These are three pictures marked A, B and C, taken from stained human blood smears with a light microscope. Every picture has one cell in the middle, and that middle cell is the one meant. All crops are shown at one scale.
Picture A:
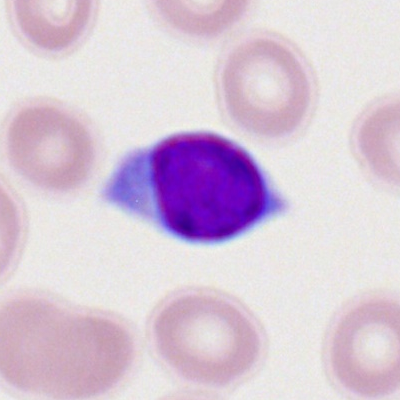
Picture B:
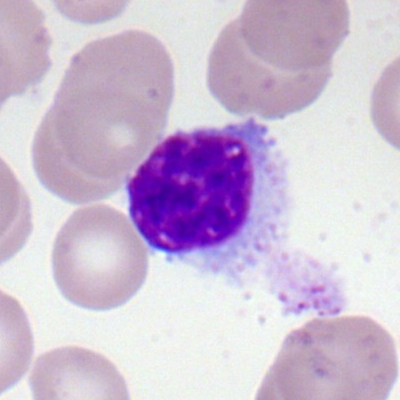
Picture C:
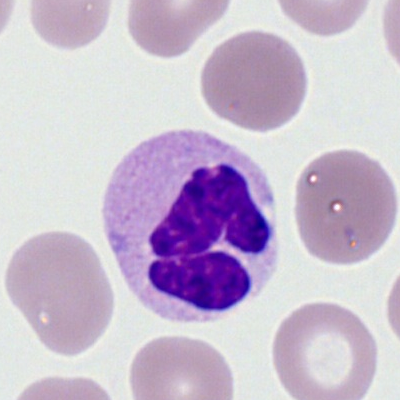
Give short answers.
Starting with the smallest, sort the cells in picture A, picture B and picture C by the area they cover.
A, B, C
